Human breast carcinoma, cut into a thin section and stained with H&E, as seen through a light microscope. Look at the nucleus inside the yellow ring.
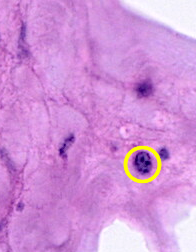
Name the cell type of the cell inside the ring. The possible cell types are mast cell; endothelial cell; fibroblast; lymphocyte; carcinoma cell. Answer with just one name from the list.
mast cell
